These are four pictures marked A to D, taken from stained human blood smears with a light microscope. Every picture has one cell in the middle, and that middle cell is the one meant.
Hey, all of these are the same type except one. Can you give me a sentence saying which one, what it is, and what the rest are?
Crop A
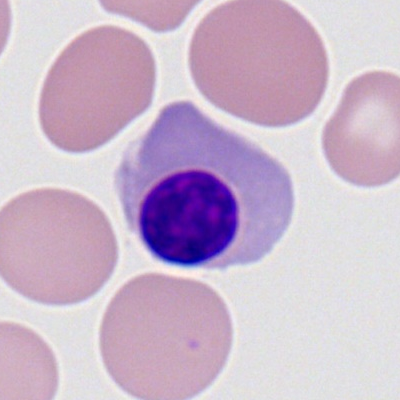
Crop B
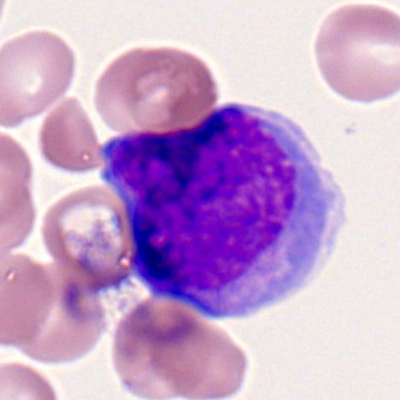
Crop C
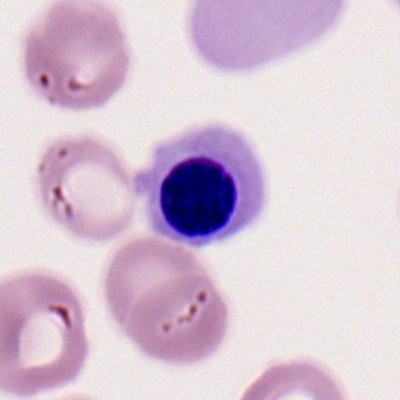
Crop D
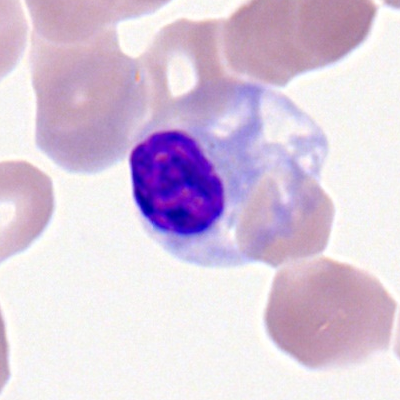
Of the crops, all show erythroblasts save crop B, which shows a myeloblast.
